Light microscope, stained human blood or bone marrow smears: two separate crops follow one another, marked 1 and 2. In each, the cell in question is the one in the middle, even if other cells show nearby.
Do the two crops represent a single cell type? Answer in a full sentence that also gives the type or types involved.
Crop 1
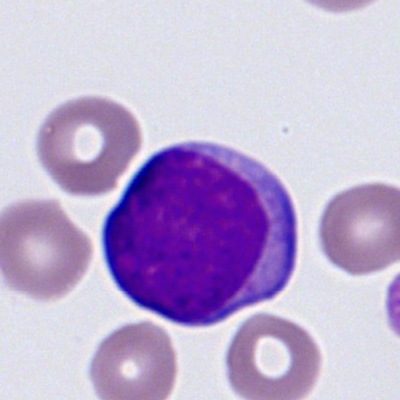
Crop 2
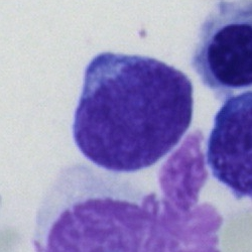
Yes, both crops show blasts, to put it briefly.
